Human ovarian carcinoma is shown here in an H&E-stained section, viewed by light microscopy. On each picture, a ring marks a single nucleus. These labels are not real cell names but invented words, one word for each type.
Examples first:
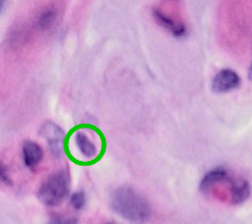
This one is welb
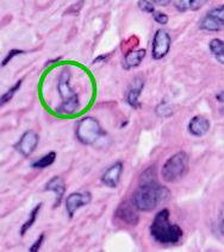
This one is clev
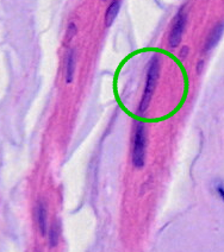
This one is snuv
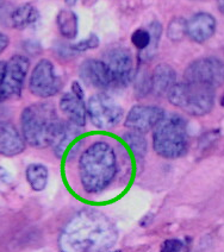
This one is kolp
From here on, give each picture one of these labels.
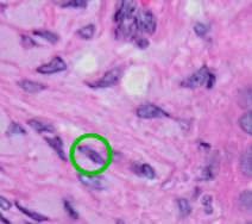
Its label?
clev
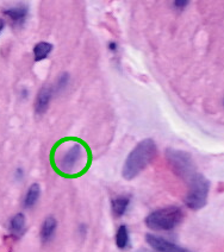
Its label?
snuv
